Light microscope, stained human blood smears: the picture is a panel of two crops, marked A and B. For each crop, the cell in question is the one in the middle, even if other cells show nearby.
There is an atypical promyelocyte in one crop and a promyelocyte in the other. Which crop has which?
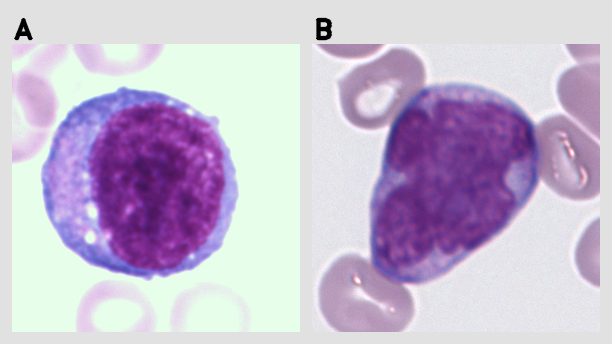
A: promyelocyte
B: atypical promyelocyte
